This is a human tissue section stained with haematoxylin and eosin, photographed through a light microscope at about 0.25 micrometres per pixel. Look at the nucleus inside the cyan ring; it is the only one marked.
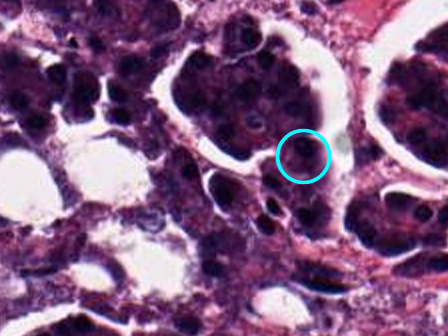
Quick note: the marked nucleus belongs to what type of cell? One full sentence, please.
Here the marked nucleus belongs to a pancreatic acinar cell.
